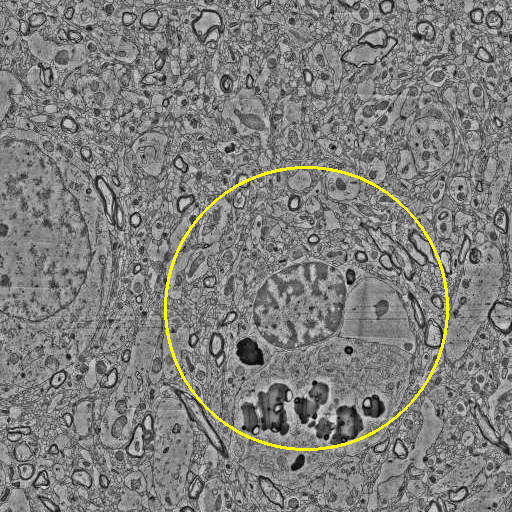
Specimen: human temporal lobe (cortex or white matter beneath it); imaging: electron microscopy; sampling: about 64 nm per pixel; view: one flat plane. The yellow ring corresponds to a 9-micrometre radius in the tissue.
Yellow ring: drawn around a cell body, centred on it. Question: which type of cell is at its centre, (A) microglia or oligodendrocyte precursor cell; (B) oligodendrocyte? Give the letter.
A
